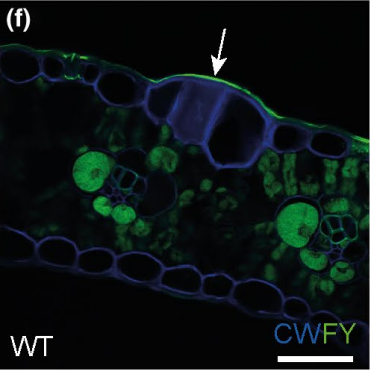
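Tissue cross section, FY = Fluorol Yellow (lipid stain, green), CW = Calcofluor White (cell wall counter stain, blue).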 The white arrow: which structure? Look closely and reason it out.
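The enlarged cells bulge slightly outward and are fanned side by side. That points to this answer: bulliform strip.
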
